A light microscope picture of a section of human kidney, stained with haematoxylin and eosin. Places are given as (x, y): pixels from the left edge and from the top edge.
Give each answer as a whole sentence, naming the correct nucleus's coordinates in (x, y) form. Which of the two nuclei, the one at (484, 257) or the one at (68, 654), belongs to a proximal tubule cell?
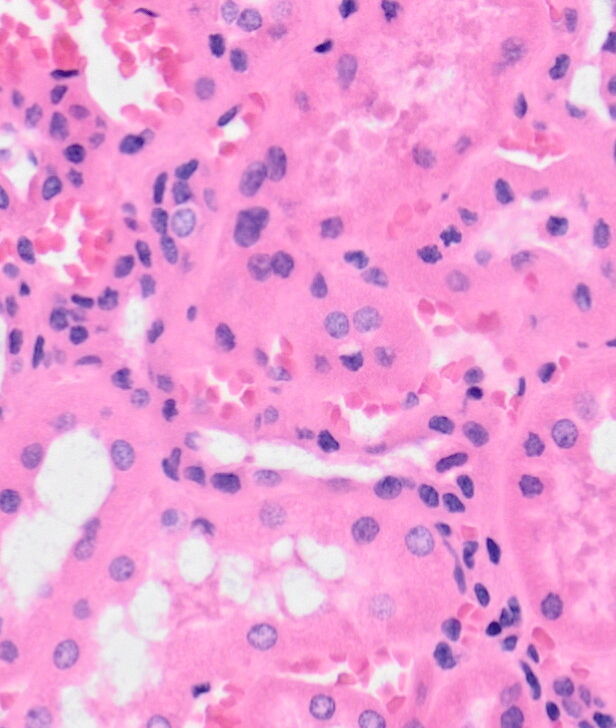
The nucleus of a proximal tubule cell is the one found at (68, 654), not the other.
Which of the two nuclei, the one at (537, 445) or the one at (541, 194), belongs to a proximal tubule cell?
Identify the nucleus at (537, 445) as the one belonging to a proximal tubule cell.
